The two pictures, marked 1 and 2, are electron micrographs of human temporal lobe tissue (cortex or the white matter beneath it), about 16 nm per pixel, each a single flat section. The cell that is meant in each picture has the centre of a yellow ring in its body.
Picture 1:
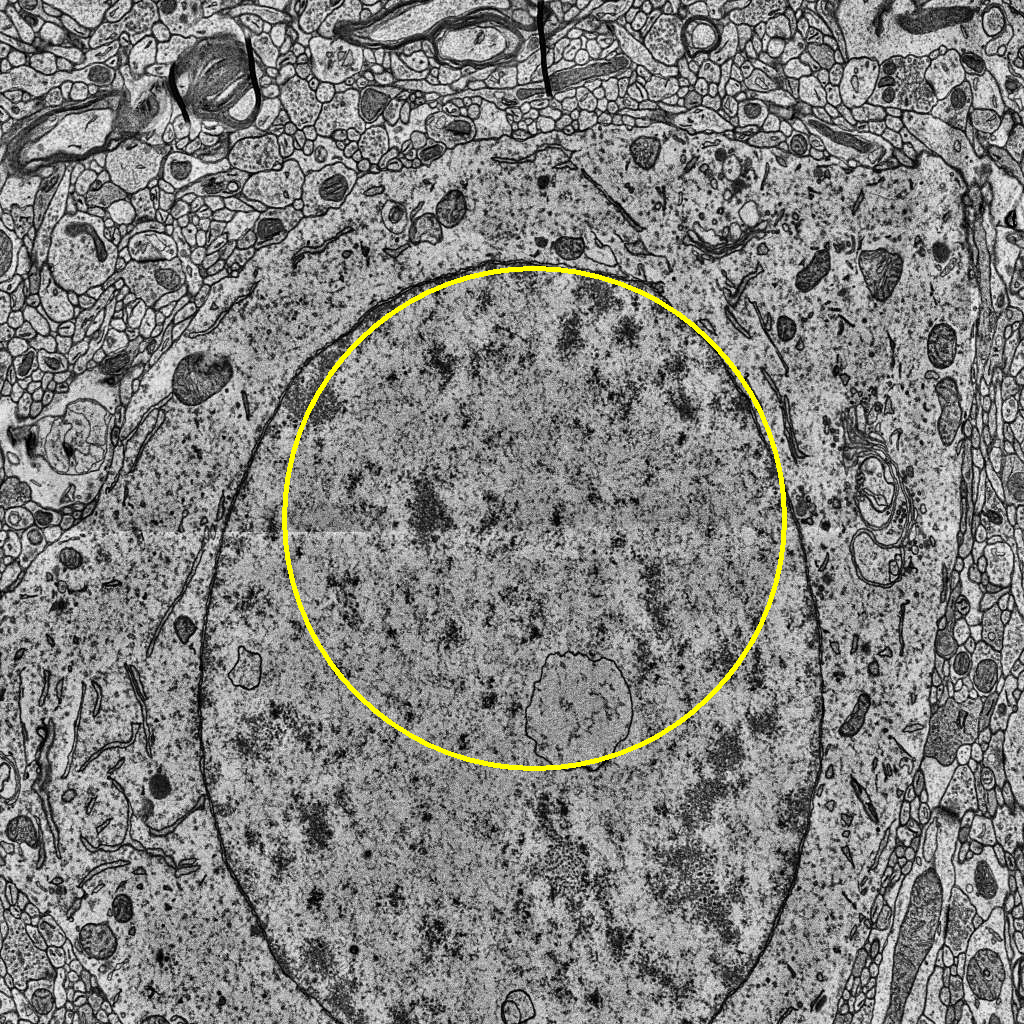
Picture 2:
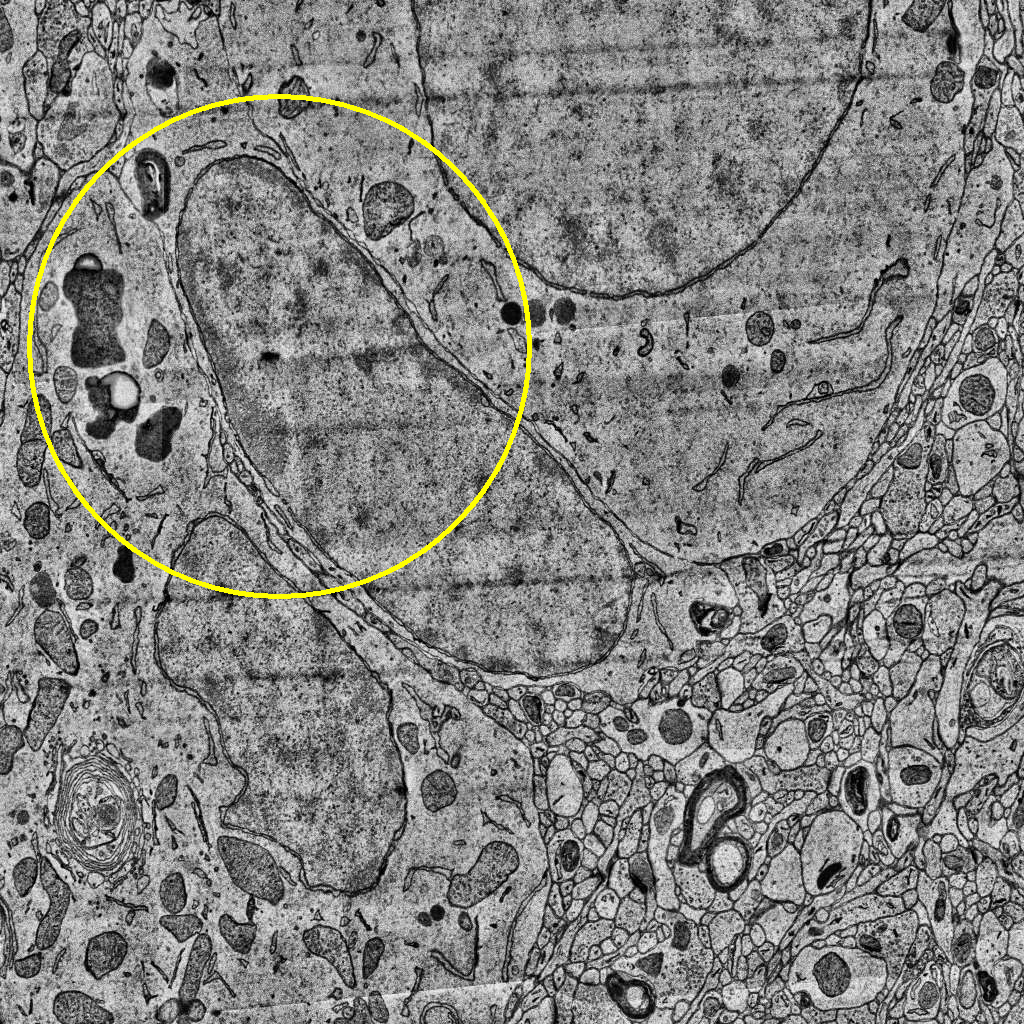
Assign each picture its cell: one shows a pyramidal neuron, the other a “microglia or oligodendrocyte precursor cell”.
In picture 1 the cell is a pyramidal neuron; in picture 2, a “microglia or oligodendrocyte precursor cell”.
